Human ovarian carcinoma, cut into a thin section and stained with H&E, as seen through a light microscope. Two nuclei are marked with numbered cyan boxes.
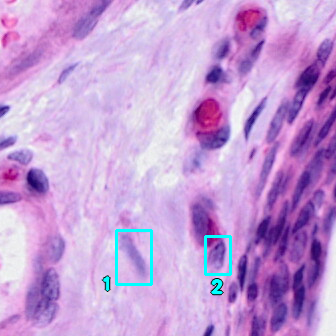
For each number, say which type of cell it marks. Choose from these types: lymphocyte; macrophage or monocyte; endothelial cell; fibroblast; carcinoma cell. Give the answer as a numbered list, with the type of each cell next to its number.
1. fibroblast
2. endothelial cell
